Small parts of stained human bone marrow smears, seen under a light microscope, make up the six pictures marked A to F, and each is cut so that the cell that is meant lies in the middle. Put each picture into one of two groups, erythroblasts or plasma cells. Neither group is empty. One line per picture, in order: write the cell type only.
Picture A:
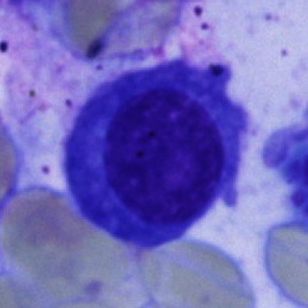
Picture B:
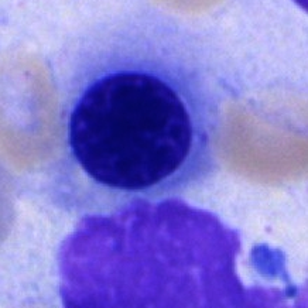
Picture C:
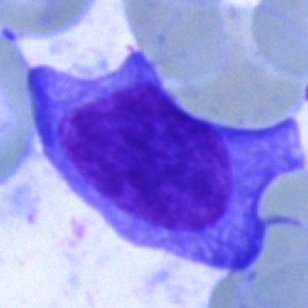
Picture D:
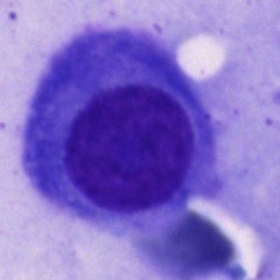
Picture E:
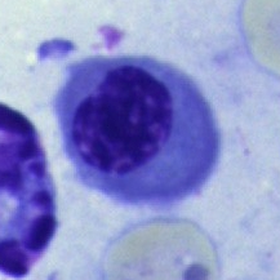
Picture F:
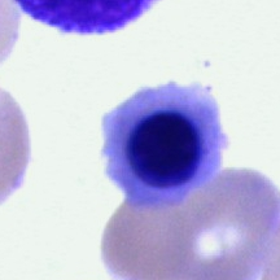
plasma cell
erythroblast
plasma cell
plasma cell
erythroblast
erythroblast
